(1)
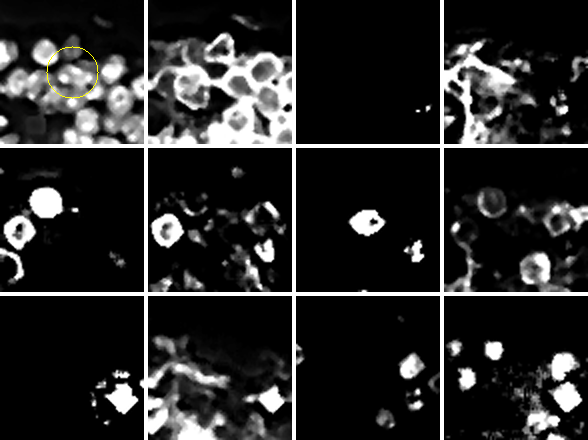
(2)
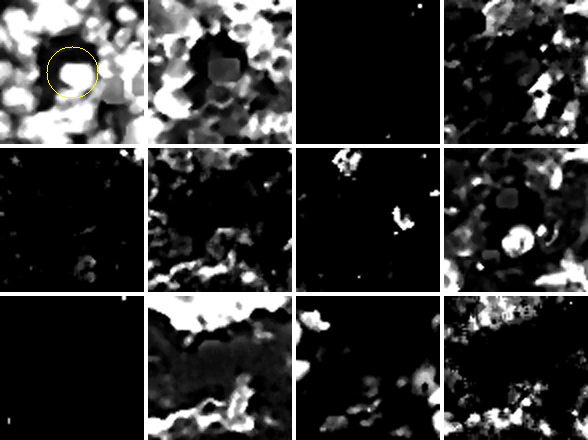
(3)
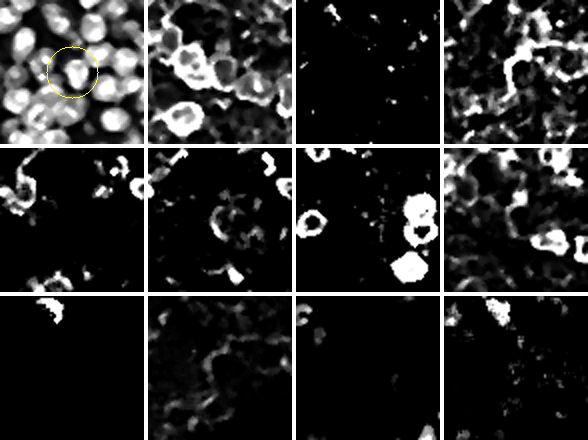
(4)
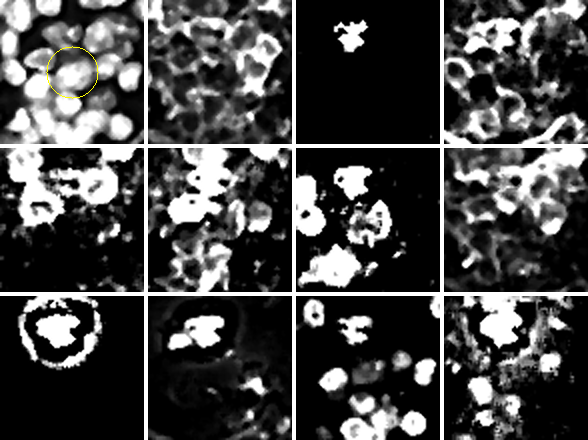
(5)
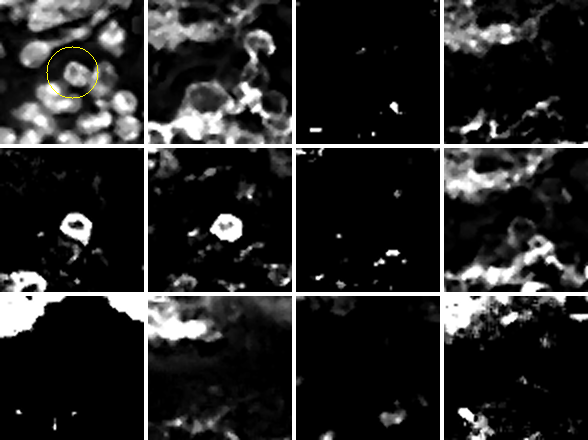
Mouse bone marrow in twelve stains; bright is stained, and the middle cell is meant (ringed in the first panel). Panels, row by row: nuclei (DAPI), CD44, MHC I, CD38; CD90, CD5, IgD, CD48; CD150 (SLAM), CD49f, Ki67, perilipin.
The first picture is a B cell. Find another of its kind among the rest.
Picture 4.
